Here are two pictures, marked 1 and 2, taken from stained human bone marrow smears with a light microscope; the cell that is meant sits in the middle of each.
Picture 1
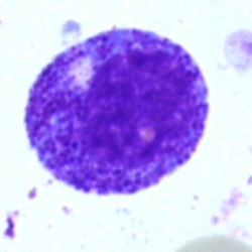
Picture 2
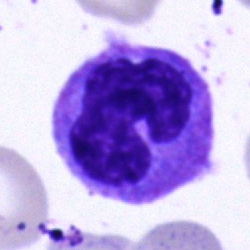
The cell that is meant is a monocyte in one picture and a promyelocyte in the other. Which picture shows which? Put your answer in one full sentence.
In picture 1 the cell is a promyelocyte; in picture 2, a monocyte.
